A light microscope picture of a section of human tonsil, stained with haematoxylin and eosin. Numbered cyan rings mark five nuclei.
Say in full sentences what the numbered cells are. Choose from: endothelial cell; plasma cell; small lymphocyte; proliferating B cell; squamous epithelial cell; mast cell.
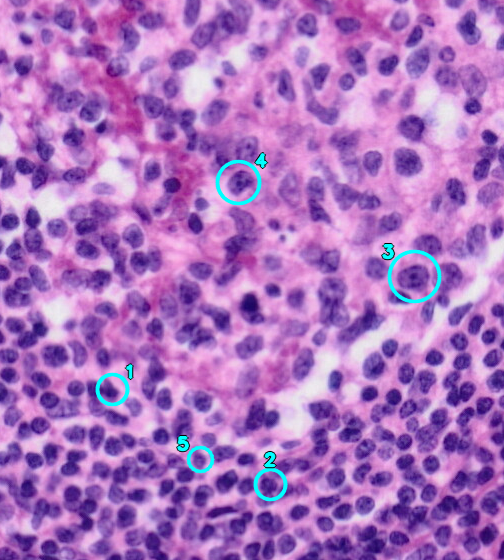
Cell 1 is a small lymphocyte, cell 2 is a small lymphocyte, cell 3 is a proliferating B cell, cell 4 is a proliferating B cell and cell 5 is a small lymphocyte.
